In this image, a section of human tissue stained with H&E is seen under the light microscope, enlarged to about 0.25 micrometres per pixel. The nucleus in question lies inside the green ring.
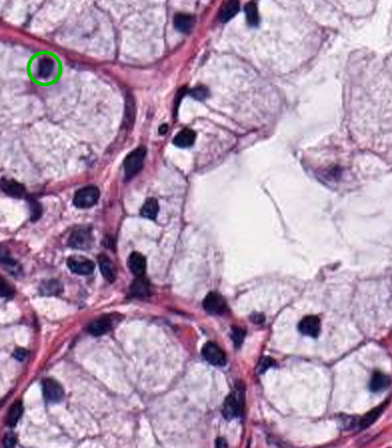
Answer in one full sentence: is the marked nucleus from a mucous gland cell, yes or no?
Yes, the nucleus indicated by the marking belongs to a mucous gland cell.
